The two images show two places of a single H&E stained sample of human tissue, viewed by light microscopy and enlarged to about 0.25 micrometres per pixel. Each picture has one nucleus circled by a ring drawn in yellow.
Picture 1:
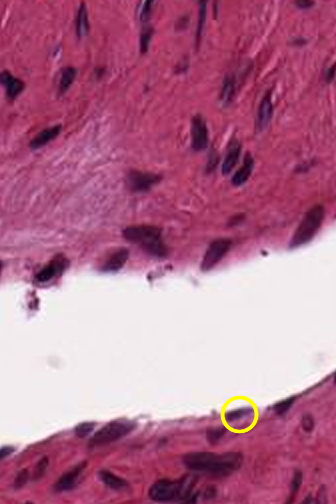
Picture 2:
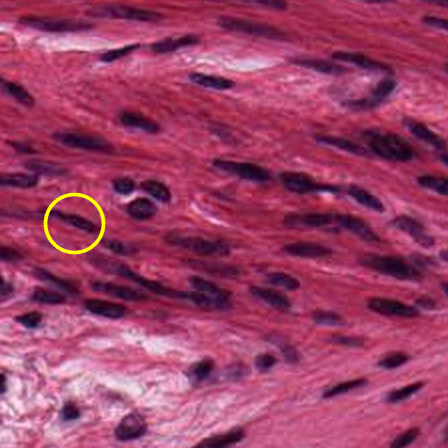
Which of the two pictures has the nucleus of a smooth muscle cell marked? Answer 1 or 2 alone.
2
